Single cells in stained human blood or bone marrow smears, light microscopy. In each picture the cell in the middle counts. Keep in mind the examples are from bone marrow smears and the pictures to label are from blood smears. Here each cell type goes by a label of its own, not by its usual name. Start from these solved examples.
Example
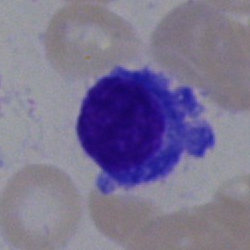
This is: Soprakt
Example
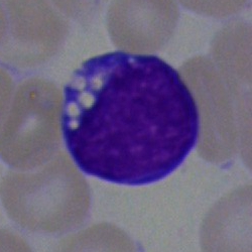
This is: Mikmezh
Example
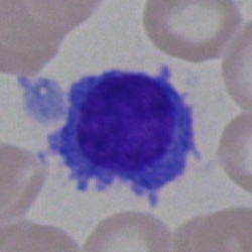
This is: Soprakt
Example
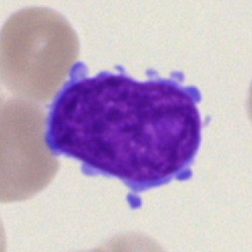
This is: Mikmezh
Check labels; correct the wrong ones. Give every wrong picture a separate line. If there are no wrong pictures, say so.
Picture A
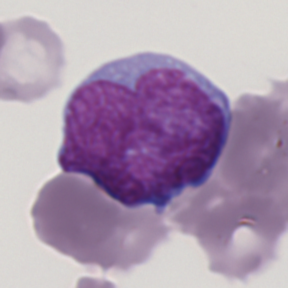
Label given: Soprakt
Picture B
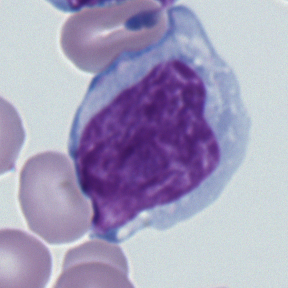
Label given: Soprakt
A should be Mikmezh, not Soprakt
B should be Mikmezh, not Soprakt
